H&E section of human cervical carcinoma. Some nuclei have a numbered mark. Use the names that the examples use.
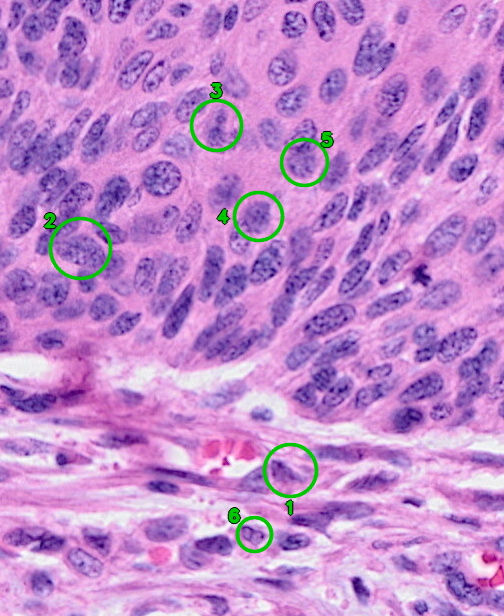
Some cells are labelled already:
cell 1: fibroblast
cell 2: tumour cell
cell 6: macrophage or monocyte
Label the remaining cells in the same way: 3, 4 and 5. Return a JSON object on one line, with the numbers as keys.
{"3": "tumour cell", "4": "tumour cell", "5": "tumour cell"}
